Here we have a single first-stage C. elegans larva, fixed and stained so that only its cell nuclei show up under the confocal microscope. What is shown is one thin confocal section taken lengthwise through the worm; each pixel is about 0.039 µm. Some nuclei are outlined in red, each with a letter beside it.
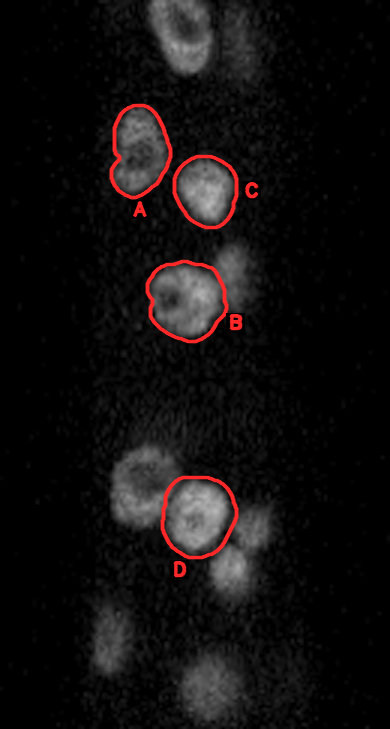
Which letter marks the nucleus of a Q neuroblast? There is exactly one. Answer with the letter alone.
D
